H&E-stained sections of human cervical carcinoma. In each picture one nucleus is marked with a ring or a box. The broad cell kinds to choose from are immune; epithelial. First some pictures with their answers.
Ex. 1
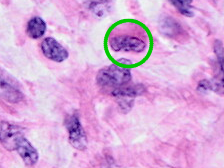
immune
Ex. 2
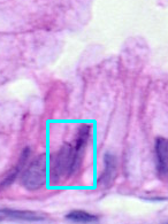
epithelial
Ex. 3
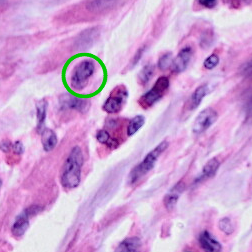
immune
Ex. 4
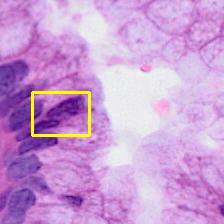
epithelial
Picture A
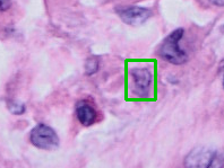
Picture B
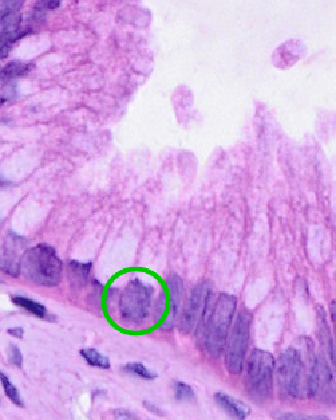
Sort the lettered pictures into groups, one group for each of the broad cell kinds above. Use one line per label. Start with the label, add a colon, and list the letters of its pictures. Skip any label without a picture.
immune: A
epithelial: B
